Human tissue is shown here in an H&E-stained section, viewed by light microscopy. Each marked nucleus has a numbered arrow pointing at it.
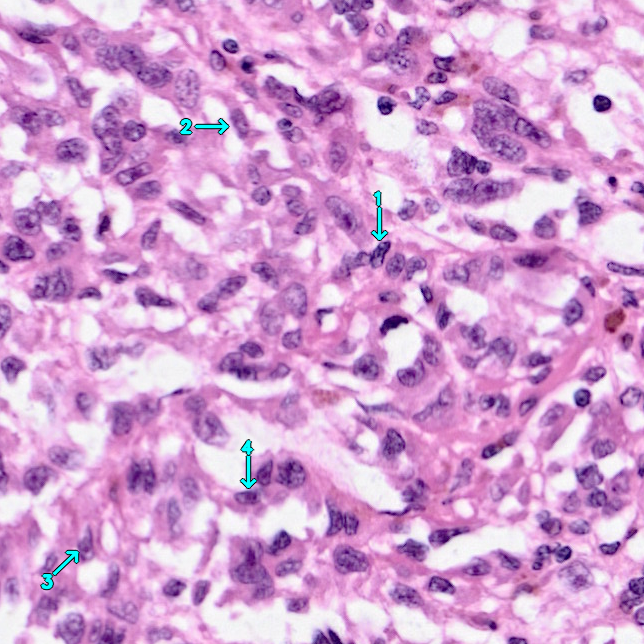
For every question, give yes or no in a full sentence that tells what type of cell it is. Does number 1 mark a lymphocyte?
Yes, the number 1 belongs to a lymphocyte.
